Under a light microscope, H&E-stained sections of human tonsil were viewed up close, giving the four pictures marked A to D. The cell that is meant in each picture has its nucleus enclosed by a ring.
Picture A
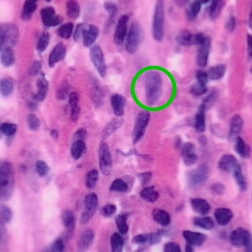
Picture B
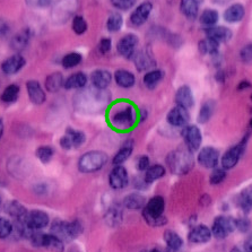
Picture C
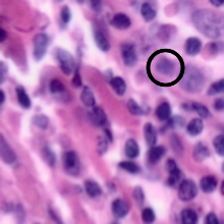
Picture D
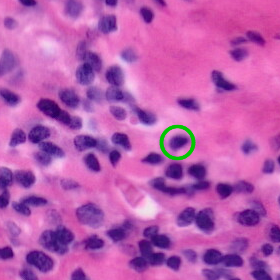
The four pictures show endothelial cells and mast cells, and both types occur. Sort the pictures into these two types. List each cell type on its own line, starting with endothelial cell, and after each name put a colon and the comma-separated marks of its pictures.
endothelial cell: A, B, C
mast cell: D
